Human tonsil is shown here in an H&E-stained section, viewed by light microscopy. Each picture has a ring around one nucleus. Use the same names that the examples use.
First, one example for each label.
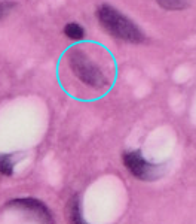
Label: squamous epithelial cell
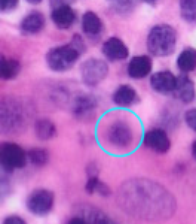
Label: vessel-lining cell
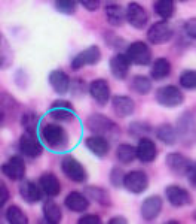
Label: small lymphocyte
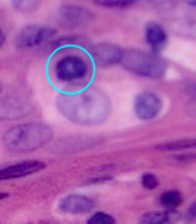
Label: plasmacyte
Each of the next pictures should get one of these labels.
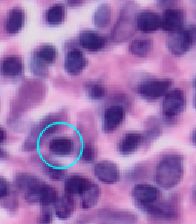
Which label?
small lymphocyte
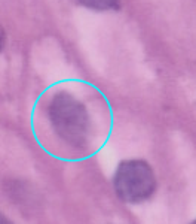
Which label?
squamous epithelial cell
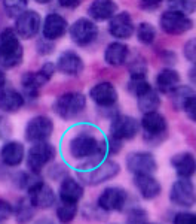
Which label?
small lymphocyte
